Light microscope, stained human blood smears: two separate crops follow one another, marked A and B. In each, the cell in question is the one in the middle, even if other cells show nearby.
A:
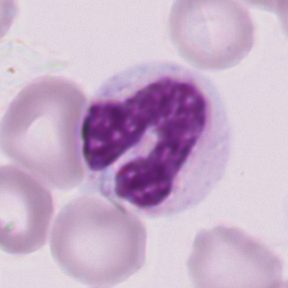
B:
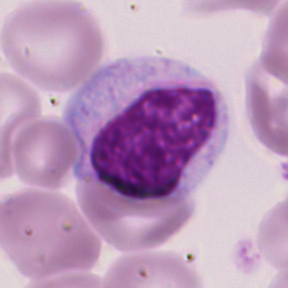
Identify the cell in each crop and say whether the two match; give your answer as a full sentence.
No, a metamyelocyte is in crop B, and a band neutrophil is in crop A.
